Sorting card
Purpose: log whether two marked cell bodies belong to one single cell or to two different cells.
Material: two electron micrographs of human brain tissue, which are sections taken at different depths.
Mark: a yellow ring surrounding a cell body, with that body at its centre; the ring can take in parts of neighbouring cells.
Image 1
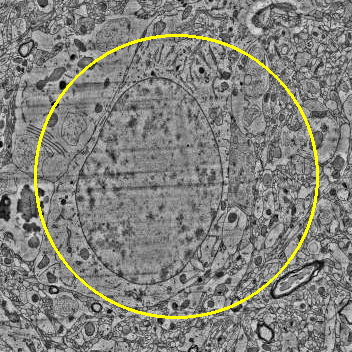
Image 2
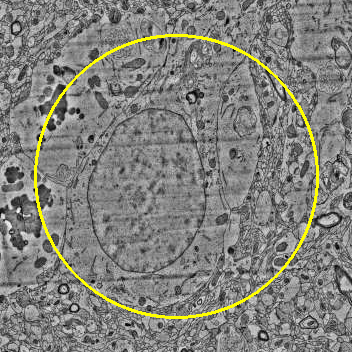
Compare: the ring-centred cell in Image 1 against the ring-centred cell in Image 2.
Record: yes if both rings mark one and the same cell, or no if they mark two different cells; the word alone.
yes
